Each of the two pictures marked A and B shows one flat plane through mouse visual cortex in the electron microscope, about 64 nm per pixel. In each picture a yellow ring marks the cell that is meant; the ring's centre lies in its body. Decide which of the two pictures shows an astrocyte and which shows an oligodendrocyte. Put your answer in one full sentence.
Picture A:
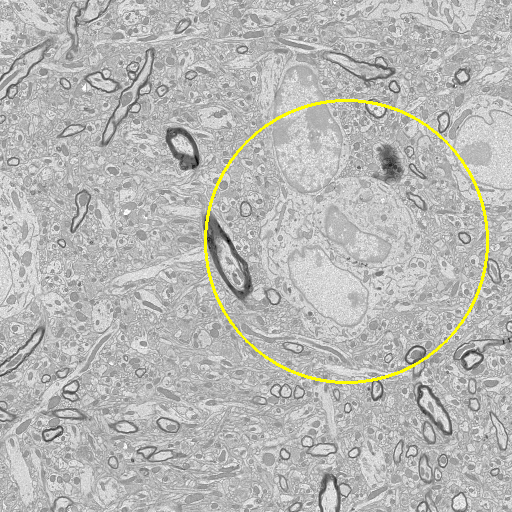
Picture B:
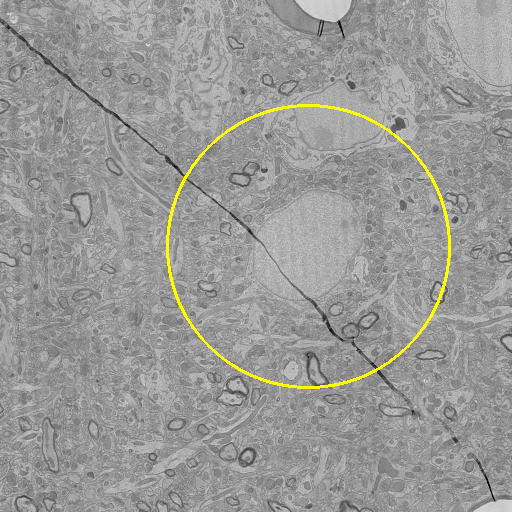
The cell in picture A is an oligodendrocyte, and the one in picture B is an astrocyte.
